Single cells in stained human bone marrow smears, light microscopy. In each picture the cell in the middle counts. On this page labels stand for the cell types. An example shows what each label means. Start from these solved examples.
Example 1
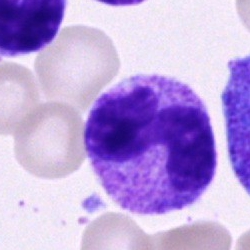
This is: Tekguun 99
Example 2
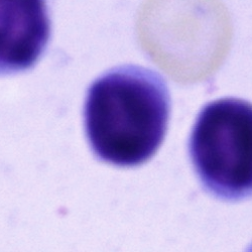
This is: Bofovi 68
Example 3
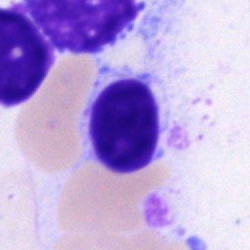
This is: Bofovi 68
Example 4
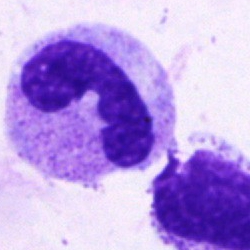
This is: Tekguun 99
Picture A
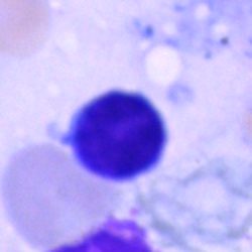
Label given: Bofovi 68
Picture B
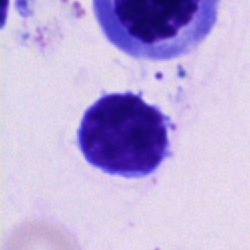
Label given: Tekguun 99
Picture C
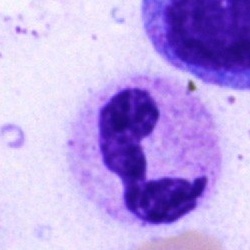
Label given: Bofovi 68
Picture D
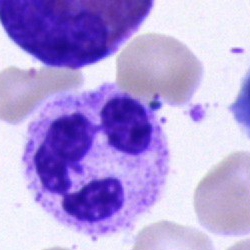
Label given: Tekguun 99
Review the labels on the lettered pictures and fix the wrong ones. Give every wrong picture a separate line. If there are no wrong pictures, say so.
Wrong: B (Tekguun 99); correct: Bofovi 68
Wrong: C (Bofovi 68); correct: Tekguun 99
